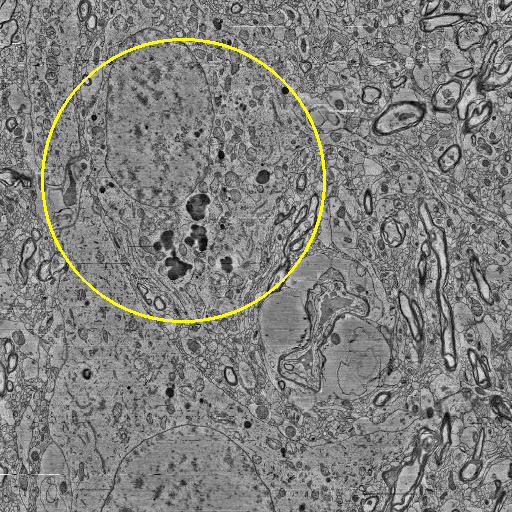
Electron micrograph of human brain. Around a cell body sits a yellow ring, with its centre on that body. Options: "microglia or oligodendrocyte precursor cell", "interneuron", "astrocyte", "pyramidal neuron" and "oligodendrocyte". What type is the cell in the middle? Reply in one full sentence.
The cell sitting at the centre of the yellow ring is an interneuron.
